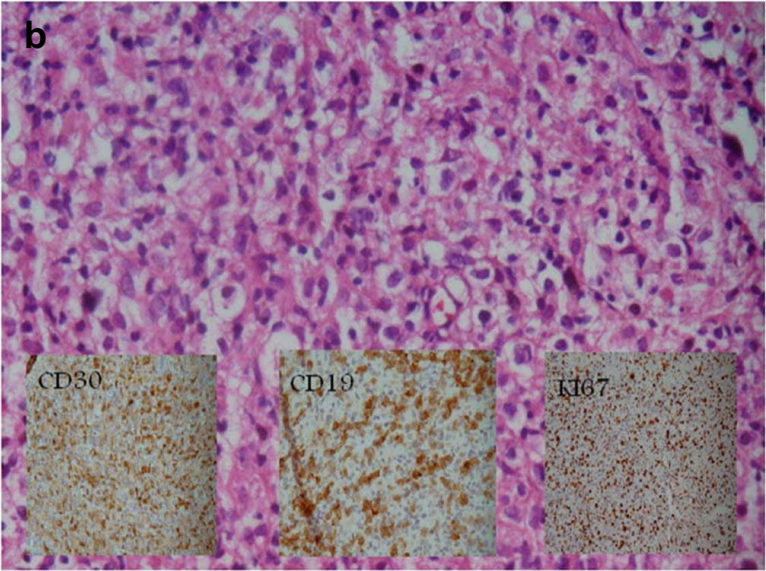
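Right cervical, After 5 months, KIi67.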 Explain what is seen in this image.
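This lymph node shows a mixed infiltrate of small lymphocytes, plasma cells and histiocytes with scattered large atypical cells among them. The small round dark nuclei of lymphocytes lie between them in a loose pink background. In the insets many cells are stained brown.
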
